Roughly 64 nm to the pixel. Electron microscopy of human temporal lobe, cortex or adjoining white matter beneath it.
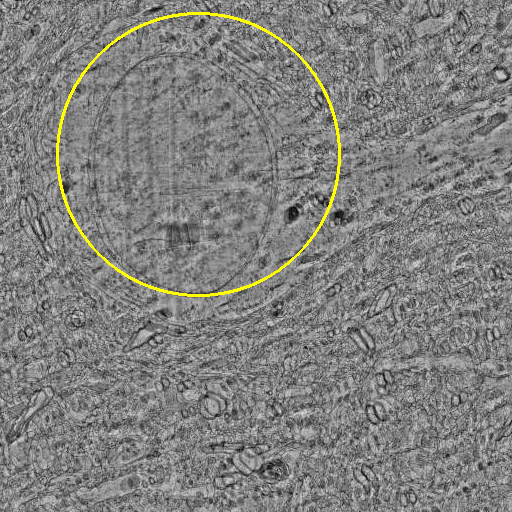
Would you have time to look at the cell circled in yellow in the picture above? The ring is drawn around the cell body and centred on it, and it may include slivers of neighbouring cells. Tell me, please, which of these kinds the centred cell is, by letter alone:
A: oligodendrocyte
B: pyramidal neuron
B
